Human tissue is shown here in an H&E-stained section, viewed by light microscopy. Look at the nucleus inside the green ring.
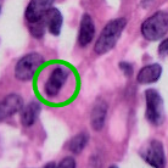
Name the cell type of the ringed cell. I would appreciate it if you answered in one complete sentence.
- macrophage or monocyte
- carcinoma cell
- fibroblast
In this tissue section, the ringed cell is to be classed as a macrophage or monocyte.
